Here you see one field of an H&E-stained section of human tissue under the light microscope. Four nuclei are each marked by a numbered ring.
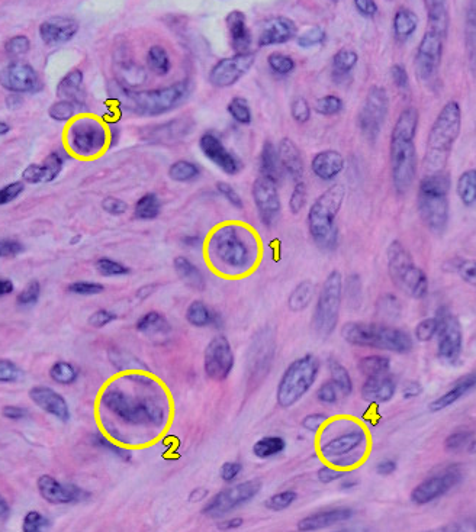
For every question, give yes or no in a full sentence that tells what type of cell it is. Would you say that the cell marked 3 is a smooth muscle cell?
No, it's not a smooth muscle cell at number 3; that cell is a macrophage or monocyte.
